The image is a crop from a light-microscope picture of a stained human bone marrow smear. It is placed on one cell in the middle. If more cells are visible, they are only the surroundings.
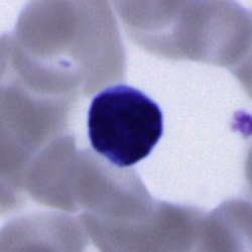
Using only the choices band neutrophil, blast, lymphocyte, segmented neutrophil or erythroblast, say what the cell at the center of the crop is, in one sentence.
Centred in the crop is a lymphocyte.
